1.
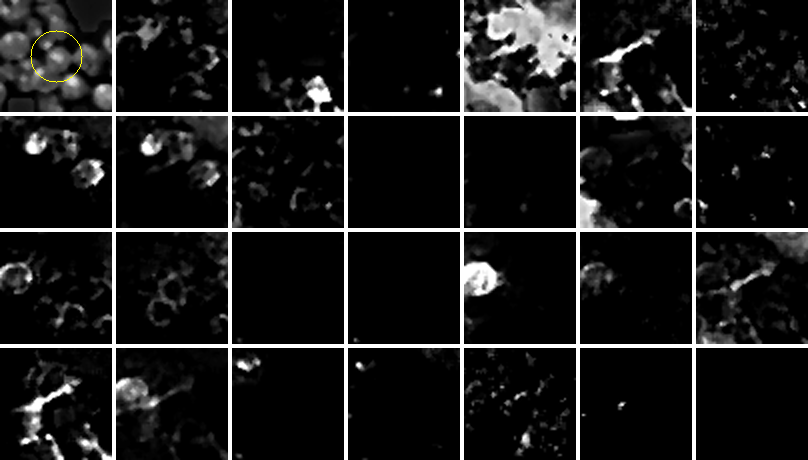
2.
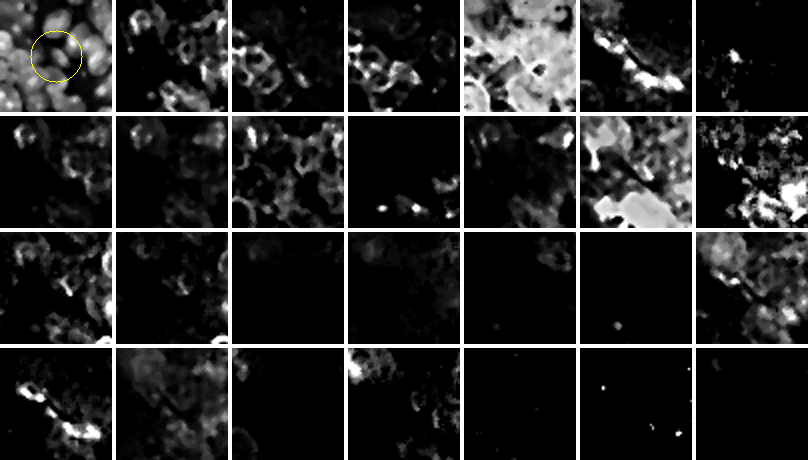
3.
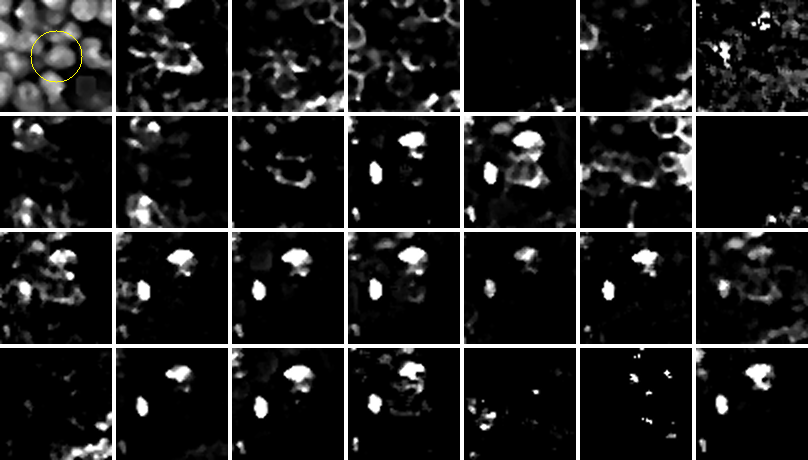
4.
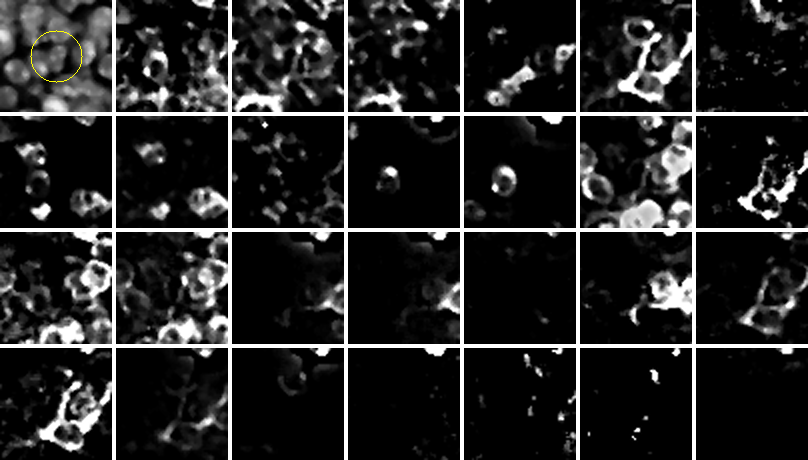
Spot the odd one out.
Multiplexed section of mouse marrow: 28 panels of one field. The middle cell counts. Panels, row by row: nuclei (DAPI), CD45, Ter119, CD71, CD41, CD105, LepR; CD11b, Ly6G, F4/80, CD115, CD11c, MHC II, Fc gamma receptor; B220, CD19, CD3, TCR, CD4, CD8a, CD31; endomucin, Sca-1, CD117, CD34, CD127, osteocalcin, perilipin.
Picture 3 (a conventional dendritic cell among capillary endothelial cells).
